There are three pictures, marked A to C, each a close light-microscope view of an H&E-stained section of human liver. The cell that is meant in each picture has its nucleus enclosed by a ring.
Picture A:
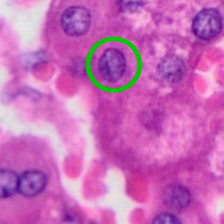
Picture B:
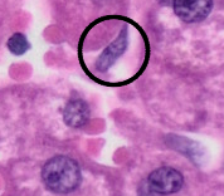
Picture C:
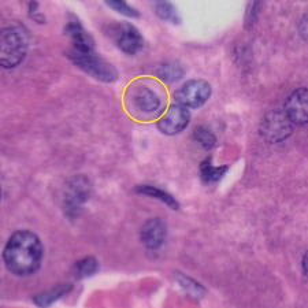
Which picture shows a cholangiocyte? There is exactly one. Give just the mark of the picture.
C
